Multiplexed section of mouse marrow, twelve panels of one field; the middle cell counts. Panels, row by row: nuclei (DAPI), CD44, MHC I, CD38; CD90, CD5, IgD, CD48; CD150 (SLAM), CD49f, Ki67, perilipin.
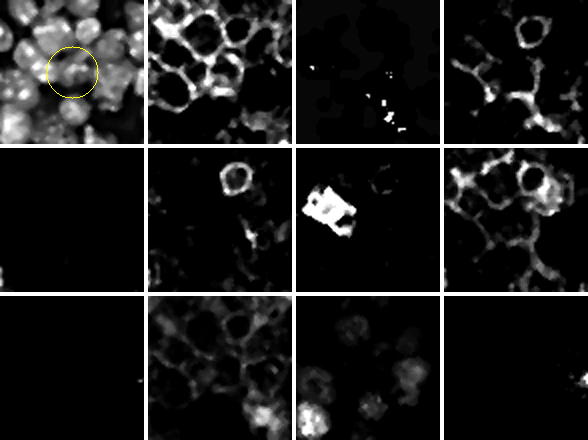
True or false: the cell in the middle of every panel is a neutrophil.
True.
